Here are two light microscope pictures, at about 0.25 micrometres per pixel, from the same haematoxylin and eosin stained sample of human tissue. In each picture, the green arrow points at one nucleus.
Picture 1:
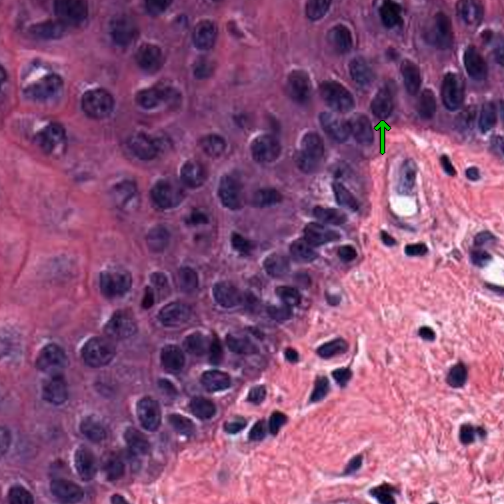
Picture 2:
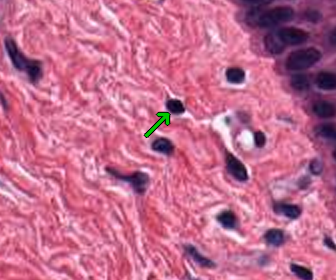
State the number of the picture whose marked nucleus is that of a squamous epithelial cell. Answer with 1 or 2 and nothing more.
1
